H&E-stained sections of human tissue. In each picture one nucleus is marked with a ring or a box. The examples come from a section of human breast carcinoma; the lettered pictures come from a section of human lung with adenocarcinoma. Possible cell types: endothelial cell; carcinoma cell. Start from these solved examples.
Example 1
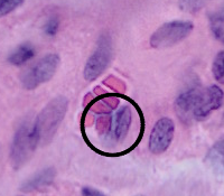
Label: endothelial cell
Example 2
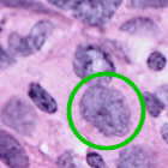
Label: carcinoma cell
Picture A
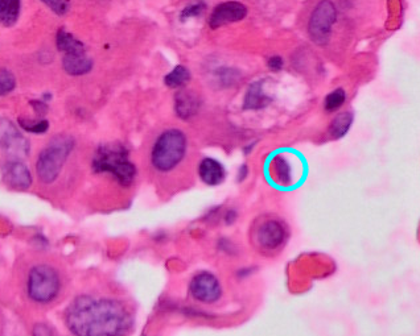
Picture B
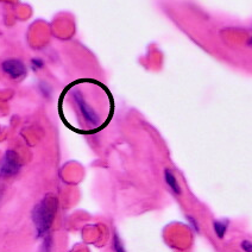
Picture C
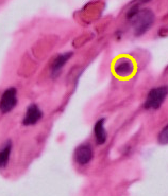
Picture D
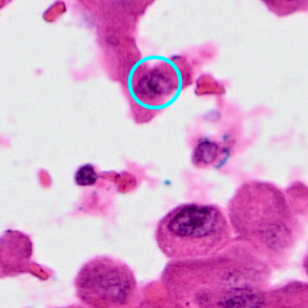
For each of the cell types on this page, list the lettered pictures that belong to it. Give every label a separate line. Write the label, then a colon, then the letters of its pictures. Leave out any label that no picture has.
endothelial cell: A, B, C
carcinoma cell: D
